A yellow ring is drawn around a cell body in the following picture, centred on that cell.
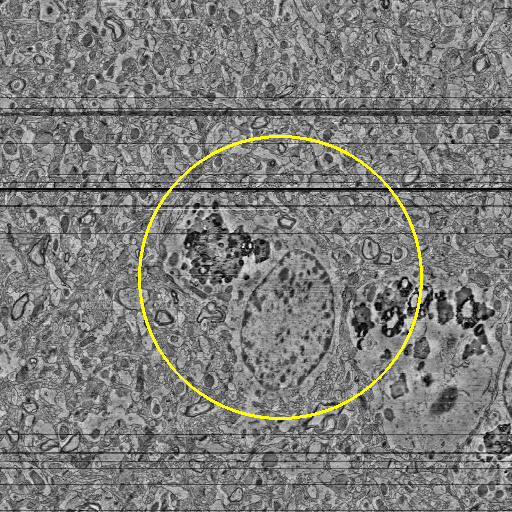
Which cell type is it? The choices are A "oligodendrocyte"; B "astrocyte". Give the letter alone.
B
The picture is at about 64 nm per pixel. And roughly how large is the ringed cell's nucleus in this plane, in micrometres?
About 9 by 6 micrometres, the nucleus being clearly longer than it is wide in this plane.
